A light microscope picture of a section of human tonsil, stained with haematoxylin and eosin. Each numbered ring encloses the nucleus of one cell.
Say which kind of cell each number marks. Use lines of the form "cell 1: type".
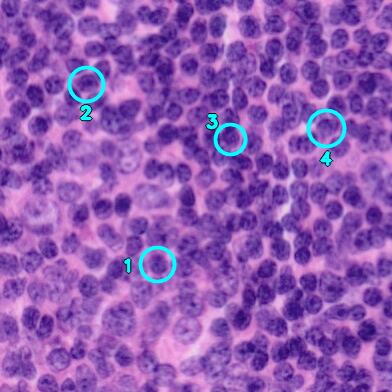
cell 1: proliferating B cell
cell 2: small lymphocyte
cell 3: small lymphocyte
cell 4: small lymphocyte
